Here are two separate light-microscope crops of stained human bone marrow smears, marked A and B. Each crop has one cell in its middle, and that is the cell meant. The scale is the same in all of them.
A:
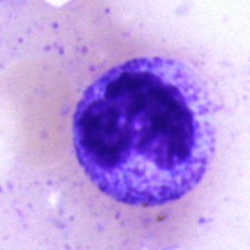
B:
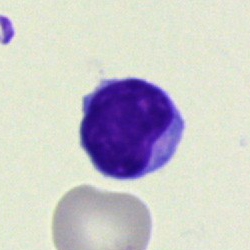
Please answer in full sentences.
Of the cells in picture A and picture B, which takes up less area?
Smaller is the cell in picture B, and the other is about 2 times as large in area.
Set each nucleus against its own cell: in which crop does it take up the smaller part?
Of the two, the nucleus in picture A leaves more room for cytoplasm.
